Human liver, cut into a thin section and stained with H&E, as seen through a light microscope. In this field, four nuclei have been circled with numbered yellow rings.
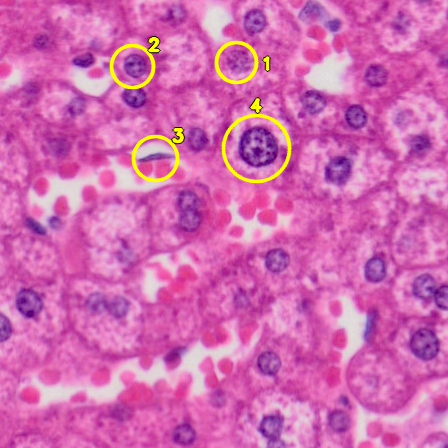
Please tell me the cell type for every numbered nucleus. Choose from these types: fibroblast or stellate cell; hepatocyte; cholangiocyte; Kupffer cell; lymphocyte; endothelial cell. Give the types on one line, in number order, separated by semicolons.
hepatocyte; hepatocyte; endothelial cell; hepatocyte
